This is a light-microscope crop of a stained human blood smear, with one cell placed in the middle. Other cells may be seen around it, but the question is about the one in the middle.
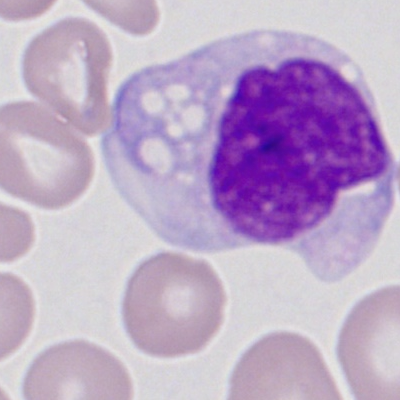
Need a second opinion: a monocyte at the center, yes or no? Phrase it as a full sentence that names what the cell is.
Yes, the cell shown at the crop's centre is a monocyte.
